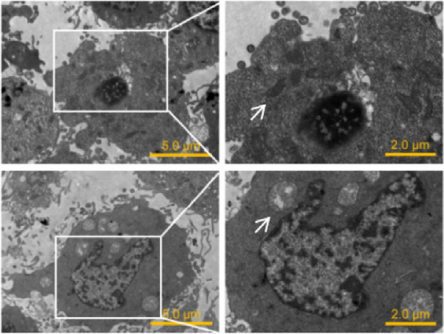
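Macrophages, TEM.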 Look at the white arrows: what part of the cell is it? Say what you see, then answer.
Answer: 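Mitochondria. The white arrows point to small membrane-bounded bodies in the cytoplasm. These bodies lie beside the nucleus in the enlarged views.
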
